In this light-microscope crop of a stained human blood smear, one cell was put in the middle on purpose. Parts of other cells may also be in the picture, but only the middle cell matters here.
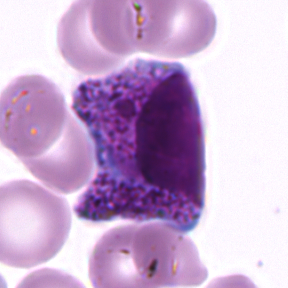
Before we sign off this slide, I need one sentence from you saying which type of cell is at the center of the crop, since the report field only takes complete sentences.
Centred in the crop is a promyelocyte.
